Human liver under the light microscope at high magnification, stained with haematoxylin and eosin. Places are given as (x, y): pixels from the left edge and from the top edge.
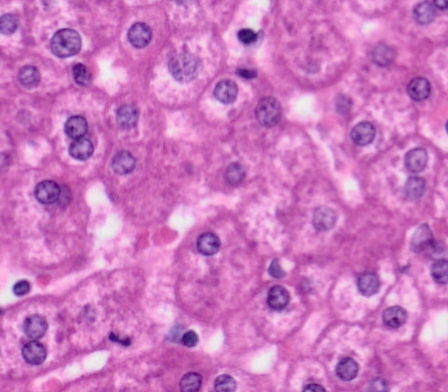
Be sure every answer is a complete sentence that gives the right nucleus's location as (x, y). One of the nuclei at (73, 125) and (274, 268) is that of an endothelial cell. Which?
Of the two nuclei, the one sitting at (274, 268) belongs to an endothelial cell.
